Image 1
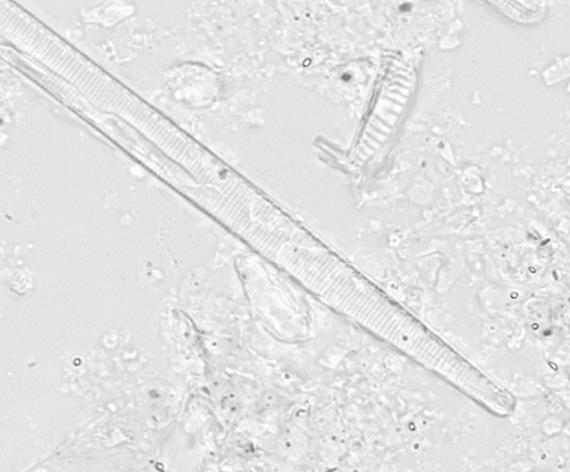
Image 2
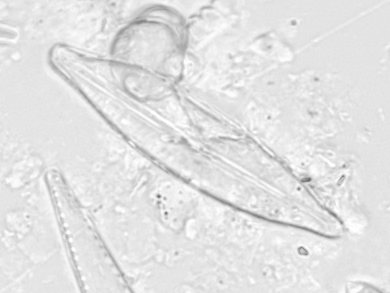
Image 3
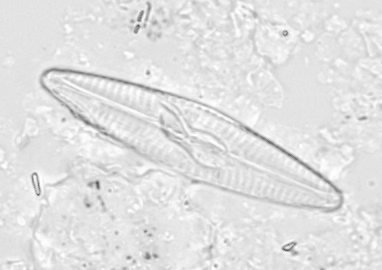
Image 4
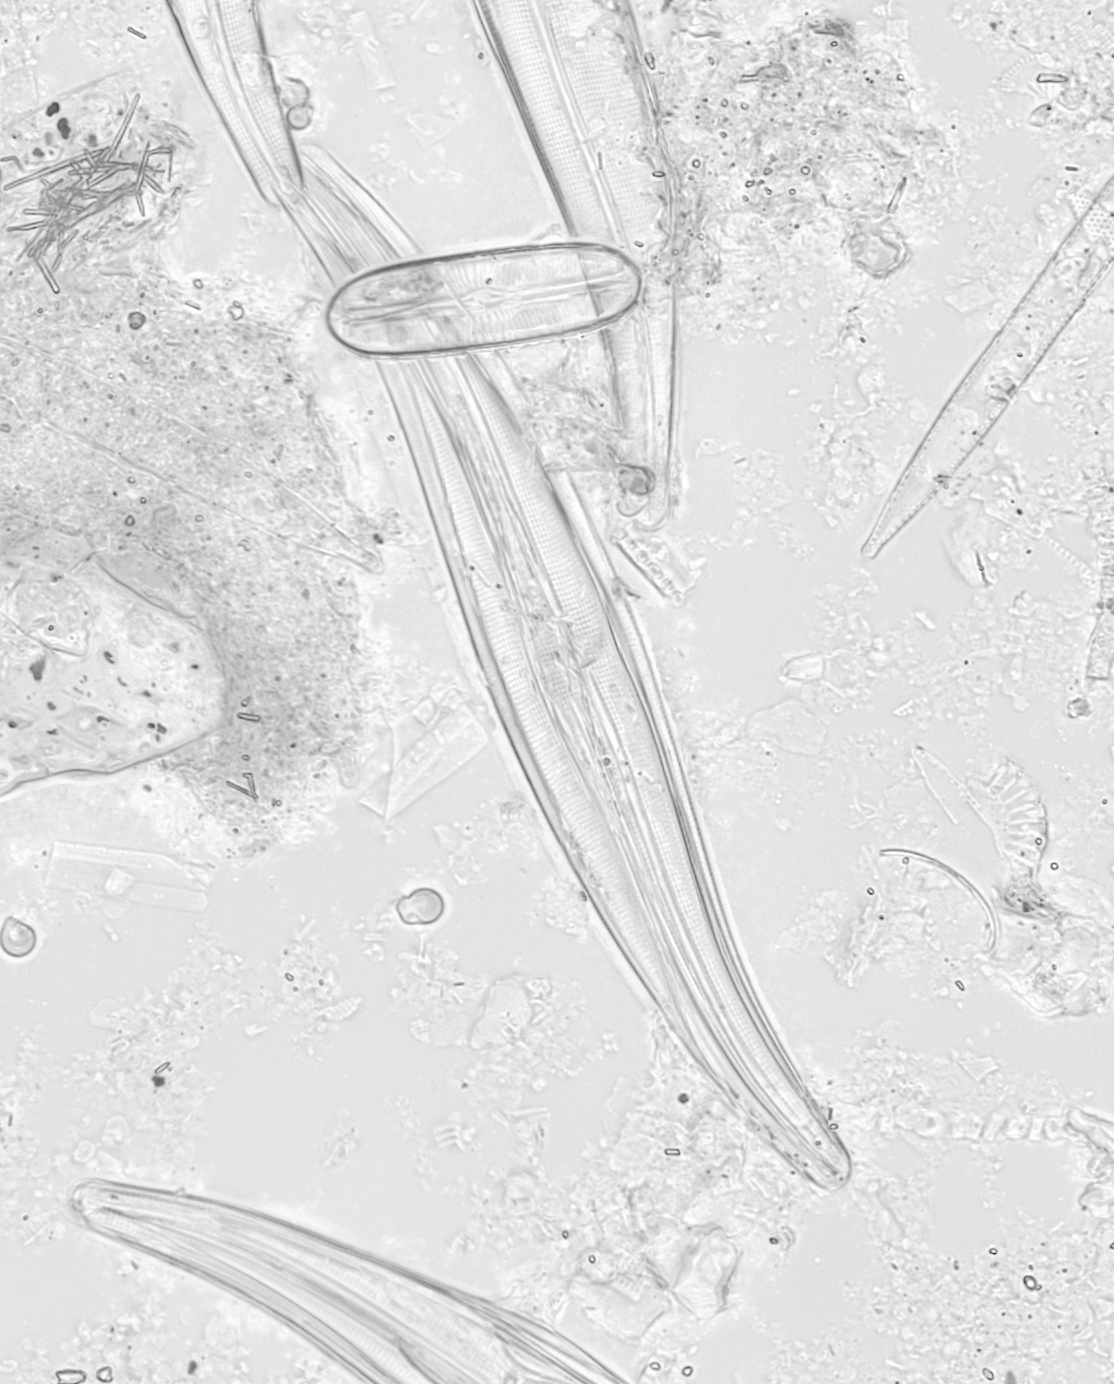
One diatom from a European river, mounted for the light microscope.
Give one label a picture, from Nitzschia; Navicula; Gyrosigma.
Picture 1: Nitzschia
Picture 2: Navicula
Picture 3: Navicula
Picture 4: Gyrosigma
